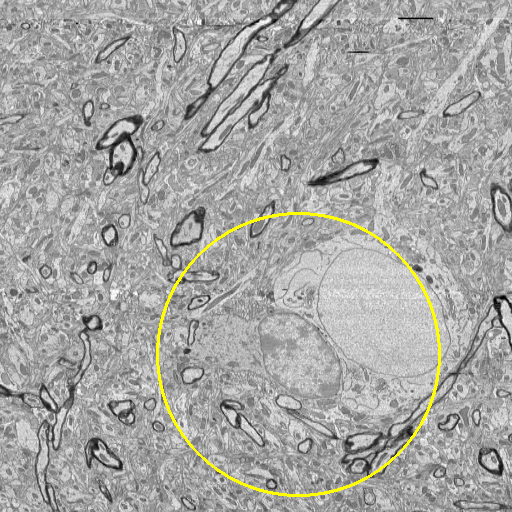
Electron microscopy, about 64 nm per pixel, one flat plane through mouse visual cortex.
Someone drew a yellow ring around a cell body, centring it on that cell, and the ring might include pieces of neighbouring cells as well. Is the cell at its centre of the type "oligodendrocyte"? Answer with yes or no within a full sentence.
Yes, within the picture, the cell the ring is centred on qualifies as that type.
